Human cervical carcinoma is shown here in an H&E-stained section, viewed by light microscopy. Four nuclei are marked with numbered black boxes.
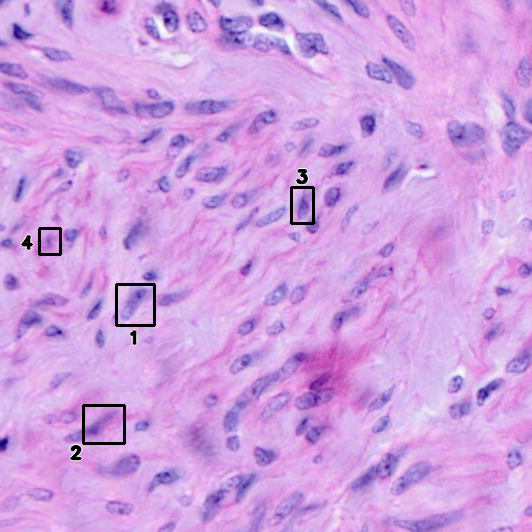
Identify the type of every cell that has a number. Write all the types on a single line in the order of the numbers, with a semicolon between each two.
fibroblast; smooth muscle cell; smooth muscle cell; smooth muscle cell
